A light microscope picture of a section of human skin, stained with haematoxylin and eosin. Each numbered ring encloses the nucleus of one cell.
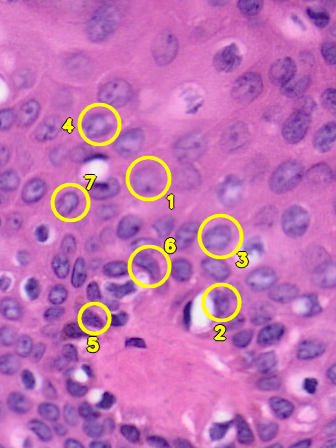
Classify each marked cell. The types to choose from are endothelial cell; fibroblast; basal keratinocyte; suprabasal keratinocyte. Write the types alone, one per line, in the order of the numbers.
suprabasal keratinocyte
basal keratinocyte
suprabasal keratinocyte
suprabasal keratinocyte
basal keratinocyte
basal keratinocyte
suprabasal keratinocyte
